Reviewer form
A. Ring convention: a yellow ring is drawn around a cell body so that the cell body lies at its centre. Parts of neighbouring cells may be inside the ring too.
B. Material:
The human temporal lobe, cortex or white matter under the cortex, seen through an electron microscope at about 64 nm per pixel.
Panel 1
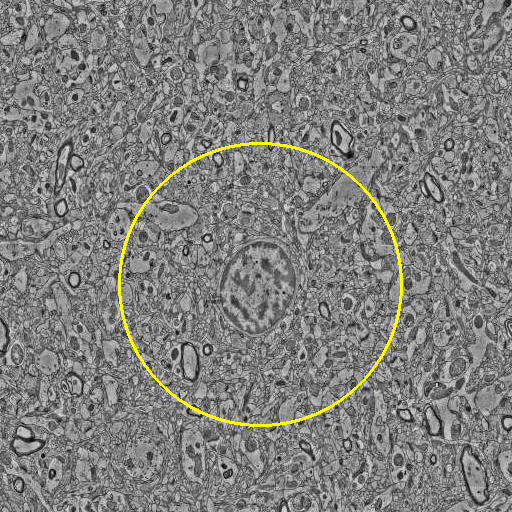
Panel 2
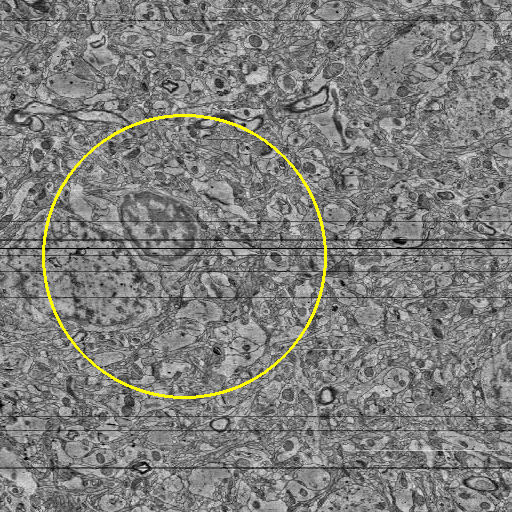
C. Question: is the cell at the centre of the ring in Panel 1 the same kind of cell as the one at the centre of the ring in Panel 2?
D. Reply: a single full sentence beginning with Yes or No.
Yes, the cells in Panel 1 and Panel 2 are the same kind of cell.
